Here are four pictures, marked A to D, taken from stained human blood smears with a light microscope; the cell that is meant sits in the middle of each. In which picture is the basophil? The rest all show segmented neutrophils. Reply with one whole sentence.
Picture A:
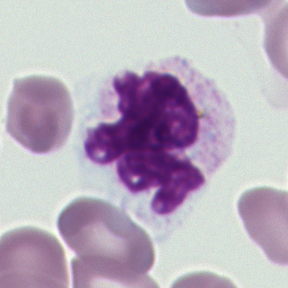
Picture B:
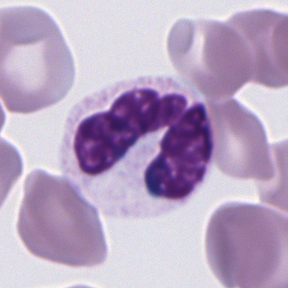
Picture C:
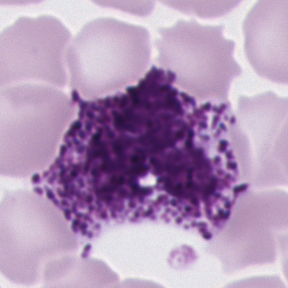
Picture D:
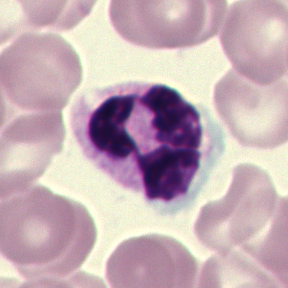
Picture C shows the basophil.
